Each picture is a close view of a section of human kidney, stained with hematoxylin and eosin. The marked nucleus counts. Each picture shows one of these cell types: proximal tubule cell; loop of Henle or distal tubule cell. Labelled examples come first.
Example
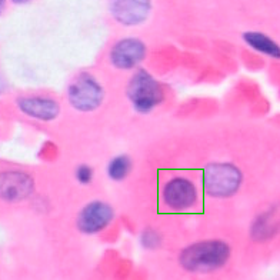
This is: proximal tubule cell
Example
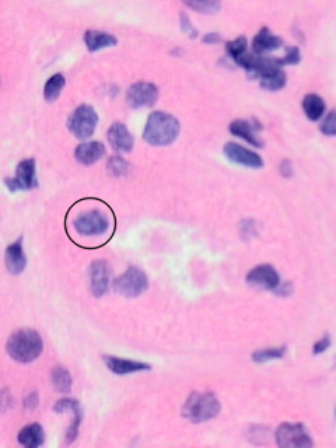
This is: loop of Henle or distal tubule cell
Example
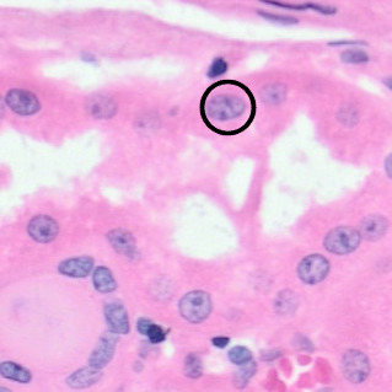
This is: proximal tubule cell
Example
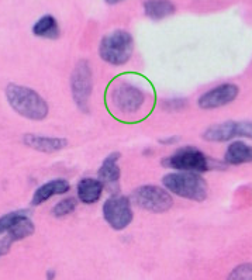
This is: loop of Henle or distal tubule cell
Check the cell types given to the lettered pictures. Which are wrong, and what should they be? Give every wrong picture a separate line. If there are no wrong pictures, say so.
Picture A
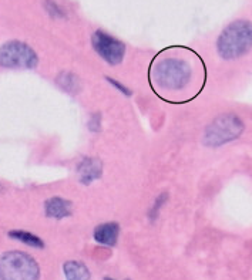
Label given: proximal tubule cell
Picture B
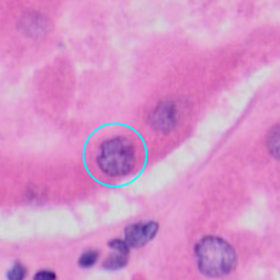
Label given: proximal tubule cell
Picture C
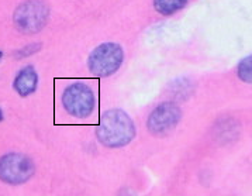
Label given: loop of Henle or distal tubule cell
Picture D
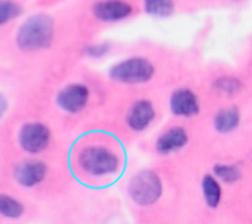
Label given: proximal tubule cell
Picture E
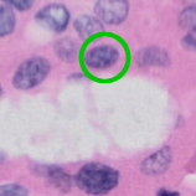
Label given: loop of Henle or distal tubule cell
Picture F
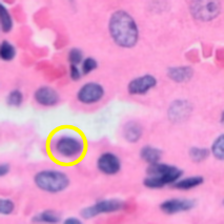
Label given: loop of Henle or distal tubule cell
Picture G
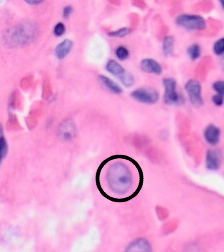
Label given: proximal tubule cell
Wrong: A (proximal tubule cell); correct: loop of Henle or distal tubule cell
Wrong: D (proximal tubule cell); correct: loop of Henle or distal tubule cell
